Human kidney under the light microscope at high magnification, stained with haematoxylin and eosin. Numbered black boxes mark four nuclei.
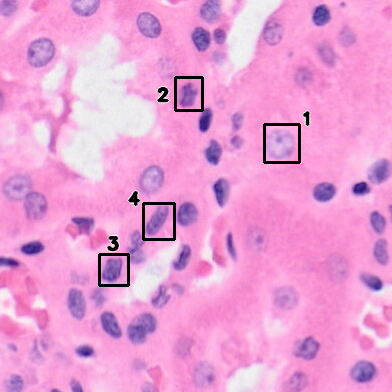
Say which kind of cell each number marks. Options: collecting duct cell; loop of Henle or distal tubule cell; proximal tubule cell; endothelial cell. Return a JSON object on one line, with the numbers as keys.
{"1": "proximal tubule cell", "2": "proximal tubule cell", "3": "collecting duct cell", "4": "collecting duct cell"}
